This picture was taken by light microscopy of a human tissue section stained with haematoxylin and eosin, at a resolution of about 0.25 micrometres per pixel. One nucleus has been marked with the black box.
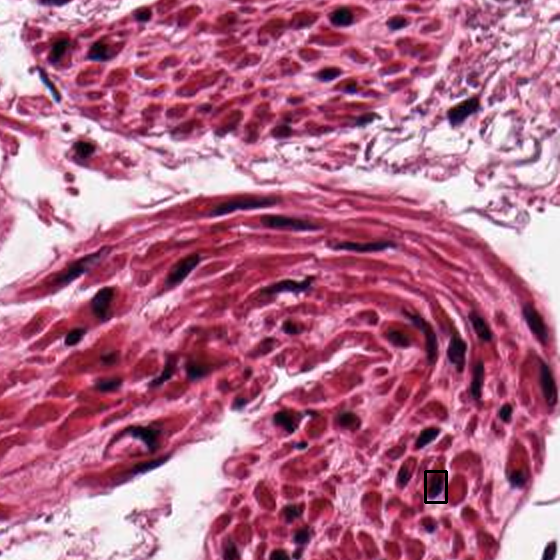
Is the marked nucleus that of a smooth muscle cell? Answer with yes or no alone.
yes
